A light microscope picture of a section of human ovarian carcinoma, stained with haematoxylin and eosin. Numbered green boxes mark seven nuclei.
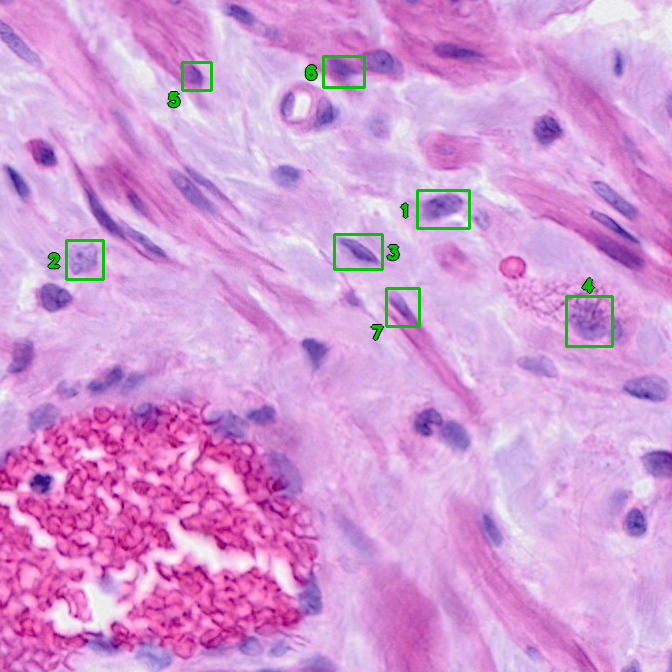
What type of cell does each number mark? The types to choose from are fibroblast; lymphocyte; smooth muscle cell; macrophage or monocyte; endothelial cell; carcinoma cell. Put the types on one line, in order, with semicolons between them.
fibroblast; fibroblast; fibroblast; endothelial cell; smooth muscle cell; smooth muscle cell; smooth muscle cell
